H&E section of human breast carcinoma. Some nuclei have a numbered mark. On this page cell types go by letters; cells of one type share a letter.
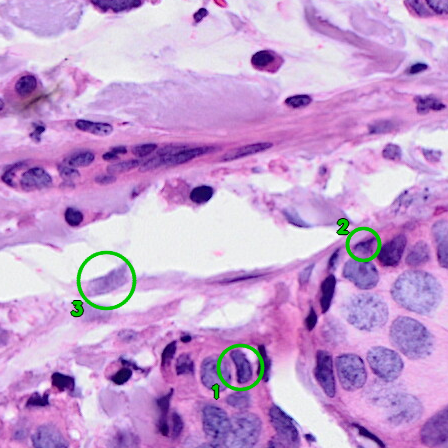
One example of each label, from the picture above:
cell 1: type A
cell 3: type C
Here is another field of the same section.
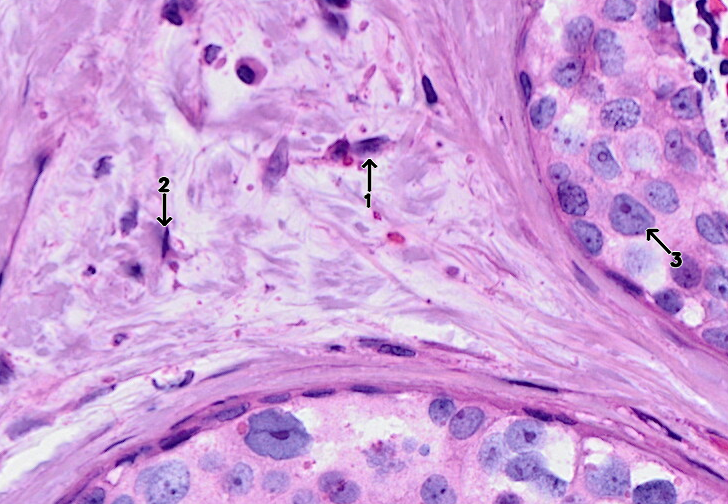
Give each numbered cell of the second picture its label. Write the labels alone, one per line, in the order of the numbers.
type C
type C
type A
